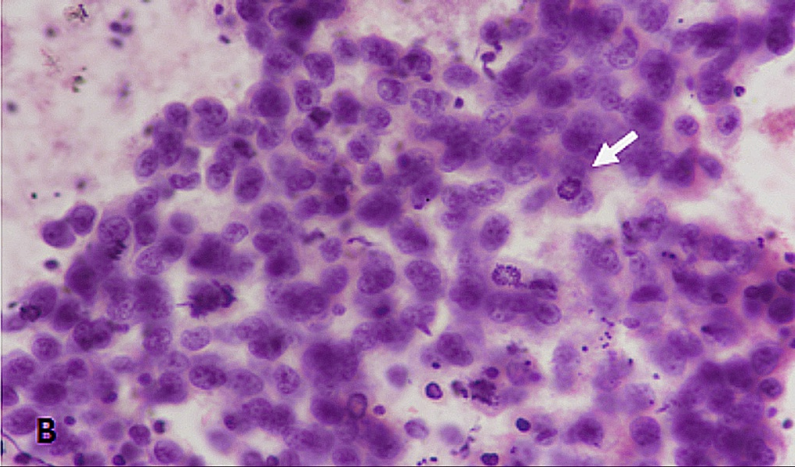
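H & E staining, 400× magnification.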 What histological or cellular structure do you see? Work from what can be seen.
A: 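Loose cohesive clusters of large atypical cells. Large cells with big round to oval nuclei lie in groups. The groups are loosely held together, with gaps and single cells between them.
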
